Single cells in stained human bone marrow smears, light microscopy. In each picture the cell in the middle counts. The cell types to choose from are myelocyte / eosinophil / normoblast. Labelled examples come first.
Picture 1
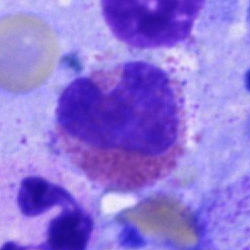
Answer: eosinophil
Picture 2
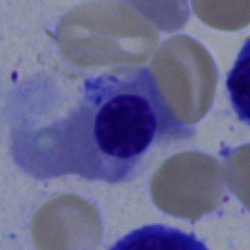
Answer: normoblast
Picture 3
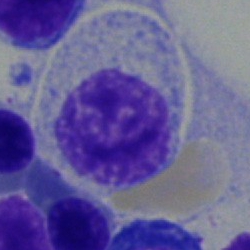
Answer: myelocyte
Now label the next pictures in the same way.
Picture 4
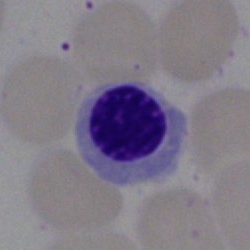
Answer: normoblast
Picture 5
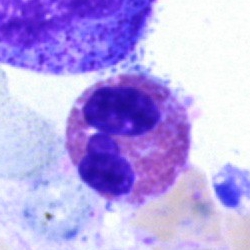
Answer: eosinophil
